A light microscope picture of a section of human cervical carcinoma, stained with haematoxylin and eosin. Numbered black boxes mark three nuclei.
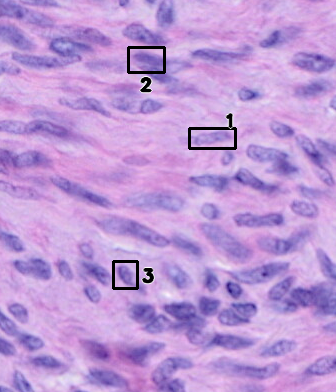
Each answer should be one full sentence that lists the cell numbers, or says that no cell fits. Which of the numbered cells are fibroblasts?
Cell 3 alone, of all the numbered cells, is a fibroblast.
